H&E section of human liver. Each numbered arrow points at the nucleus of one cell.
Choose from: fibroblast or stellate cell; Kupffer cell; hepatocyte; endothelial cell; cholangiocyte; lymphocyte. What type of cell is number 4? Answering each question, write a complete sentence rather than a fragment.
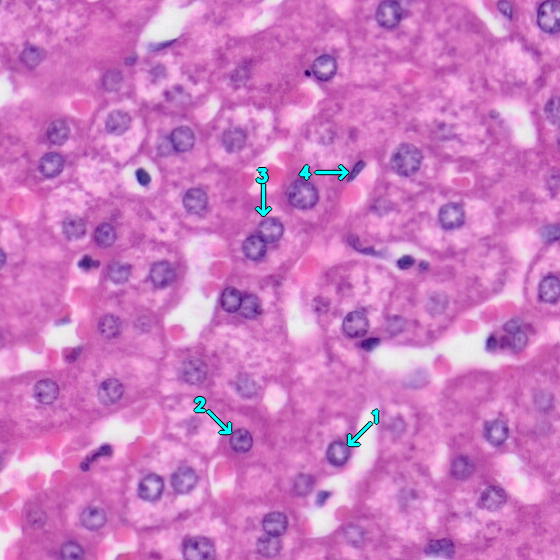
The identity of cell 4 is that of an endothelial cell.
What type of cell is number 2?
The cell assigned the number 2 is a hepatocyte.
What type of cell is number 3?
The marked cell with the number 3 is recognised as a hepatocyte.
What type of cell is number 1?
The marked cell bearing number 1 is a hepatocyte.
